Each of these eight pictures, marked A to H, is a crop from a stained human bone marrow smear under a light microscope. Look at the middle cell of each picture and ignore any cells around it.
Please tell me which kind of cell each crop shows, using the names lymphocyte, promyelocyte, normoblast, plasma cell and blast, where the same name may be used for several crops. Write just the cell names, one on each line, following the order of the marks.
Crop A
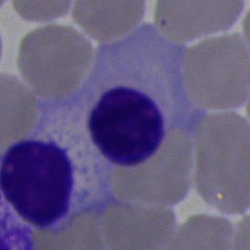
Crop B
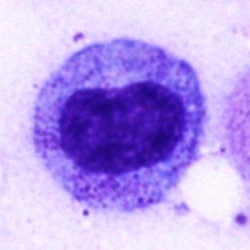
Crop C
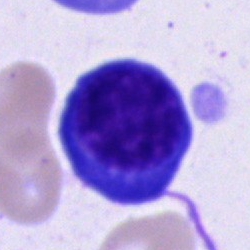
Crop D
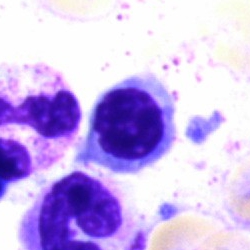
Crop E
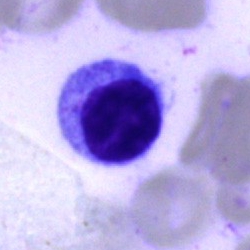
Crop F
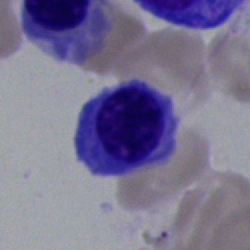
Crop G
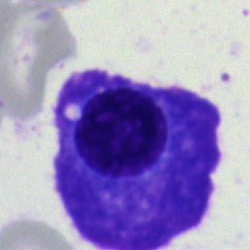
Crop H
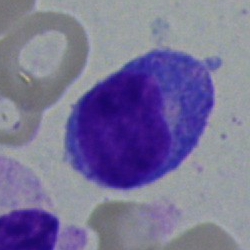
normoblast
promyelocyte
plasma cell
normoblast
lymphocyte
normoblast
plasma cell
blast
